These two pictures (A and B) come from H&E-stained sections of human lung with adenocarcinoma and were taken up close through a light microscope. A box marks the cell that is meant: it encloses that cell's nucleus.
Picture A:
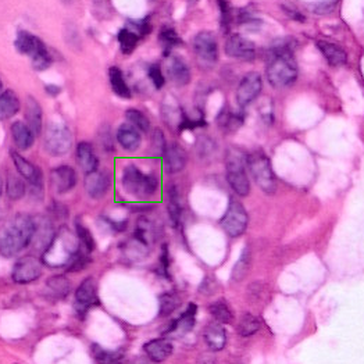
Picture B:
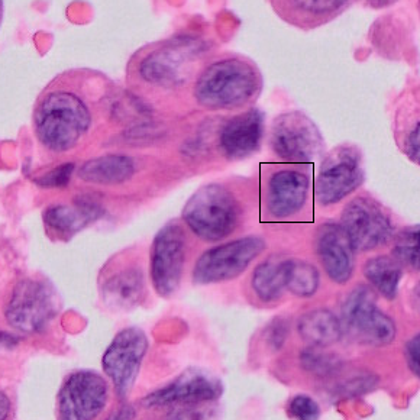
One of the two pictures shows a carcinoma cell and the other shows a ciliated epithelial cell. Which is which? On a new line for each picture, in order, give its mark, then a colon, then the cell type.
A: ciliated epithelial cell
B: carcinoma cell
